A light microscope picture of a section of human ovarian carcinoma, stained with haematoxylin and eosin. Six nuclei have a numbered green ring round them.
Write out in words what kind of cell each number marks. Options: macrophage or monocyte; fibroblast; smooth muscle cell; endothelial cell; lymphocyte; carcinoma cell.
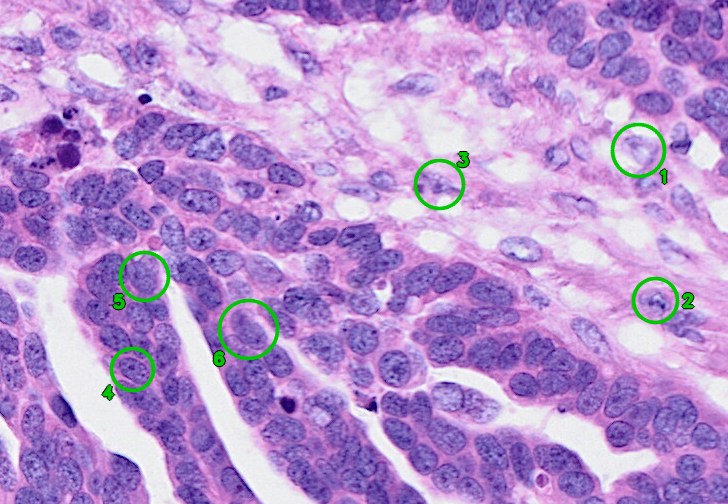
Cells 1, 2 and 3 are fibroblasts. Cells 4, 5 and 6 are carcinoma cells.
